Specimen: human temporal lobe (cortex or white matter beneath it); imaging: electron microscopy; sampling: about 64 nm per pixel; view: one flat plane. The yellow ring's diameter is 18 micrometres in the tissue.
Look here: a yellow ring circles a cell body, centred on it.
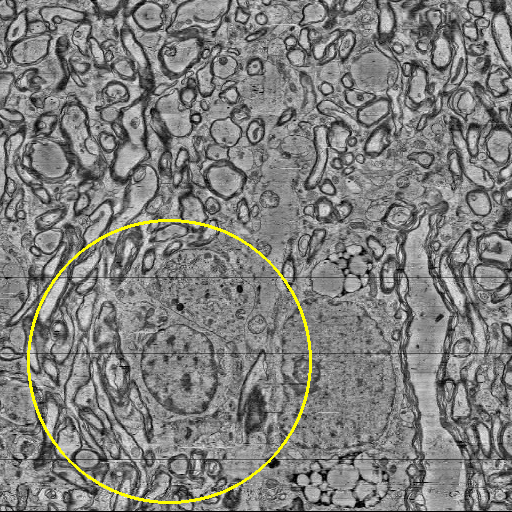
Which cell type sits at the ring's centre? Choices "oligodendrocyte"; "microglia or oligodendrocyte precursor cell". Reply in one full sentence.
The cell at the centre of the yellow ring in the picture is a microglial cell or oligodendrocyte precursor cell.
